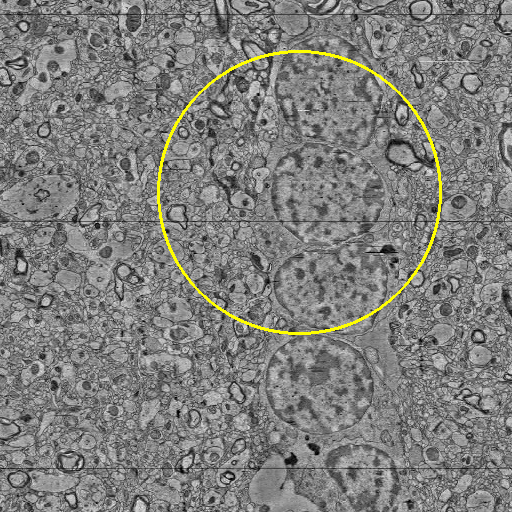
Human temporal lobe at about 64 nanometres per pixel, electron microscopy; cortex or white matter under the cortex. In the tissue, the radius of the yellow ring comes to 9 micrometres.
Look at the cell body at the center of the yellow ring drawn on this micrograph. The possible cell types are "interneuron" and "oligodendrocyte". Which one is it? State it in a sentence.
The cell in the middle of the ring is an oligodendrocyte.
